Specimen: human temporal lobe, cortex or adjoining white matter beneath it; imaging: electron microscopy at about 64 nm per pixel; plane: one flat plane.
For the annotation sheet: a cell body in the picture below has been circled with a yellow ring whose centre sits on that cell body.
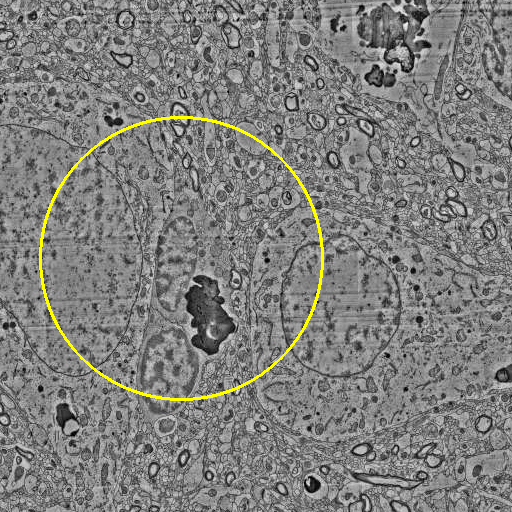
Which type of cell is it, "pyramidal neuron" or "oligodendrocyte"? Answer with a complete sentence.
The circled cell is an oligodendrocyte.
